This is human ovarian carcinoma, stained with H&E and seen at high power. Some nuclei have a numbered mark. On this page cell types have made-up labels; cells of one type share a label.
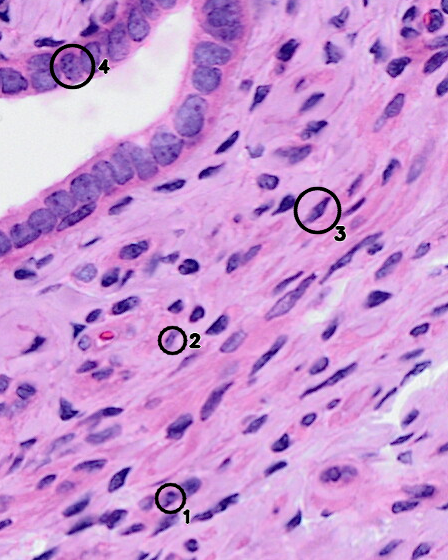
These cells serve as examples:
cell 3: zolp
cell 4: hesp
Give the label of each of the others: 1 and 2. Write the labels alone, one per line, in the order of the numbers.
zolp
zolp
